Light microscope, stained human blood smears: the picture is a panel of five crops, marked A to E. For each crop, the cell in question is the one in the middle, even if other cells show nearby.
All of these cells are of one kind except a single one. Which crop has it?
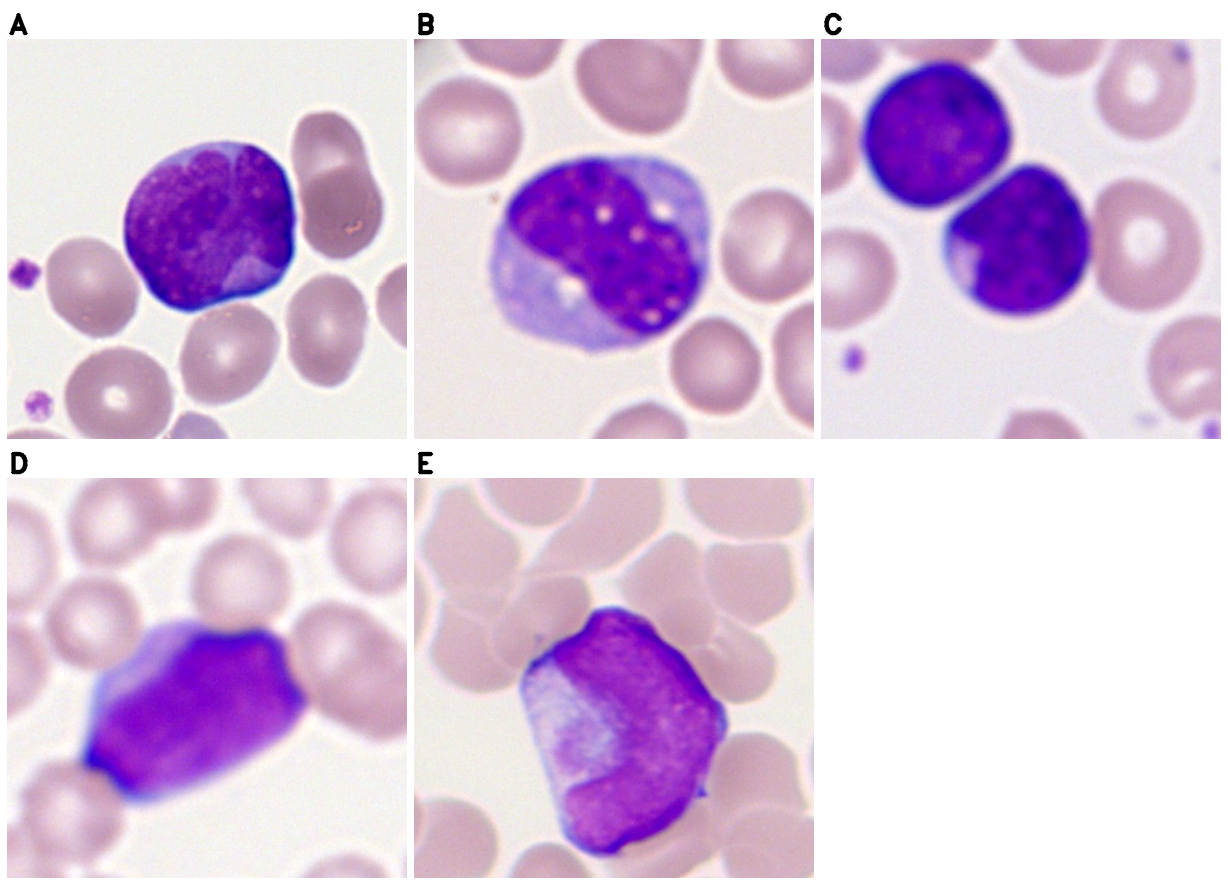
B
